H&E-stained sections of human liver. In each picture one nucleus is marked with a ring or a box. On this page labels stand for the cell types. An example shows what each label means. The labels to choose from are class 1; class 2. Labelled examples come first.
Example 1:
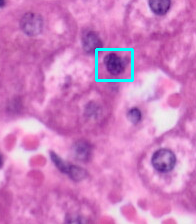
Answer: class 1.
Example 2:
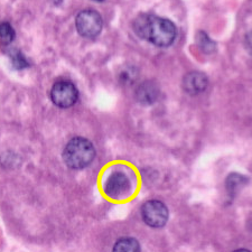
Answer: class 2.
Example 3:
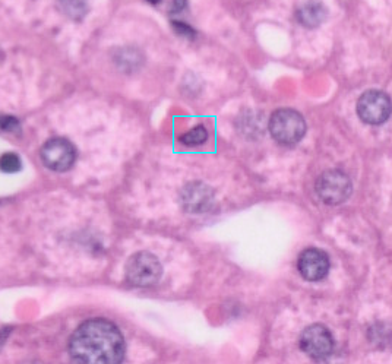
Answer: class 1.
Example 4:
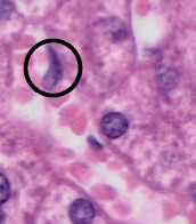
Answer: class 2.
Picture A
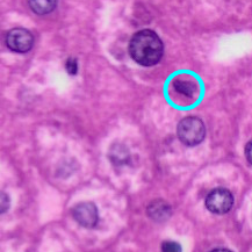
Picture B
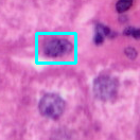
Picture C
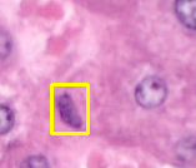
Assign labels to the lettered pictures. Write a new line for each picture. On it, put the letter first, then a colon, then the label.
A: class 1.
B: class 2.
C: class 1.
